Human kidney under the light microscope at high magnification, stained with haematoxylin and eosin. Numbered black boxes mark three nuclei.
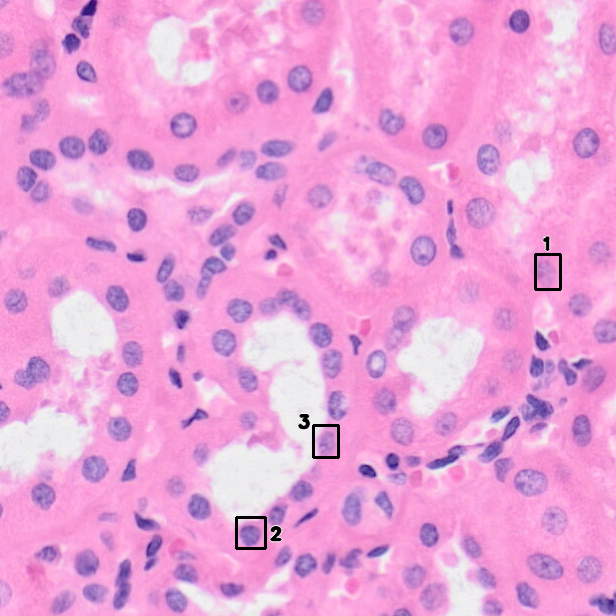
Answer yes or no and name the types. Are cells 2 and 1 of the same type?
No, cell 2 should be called a loop of Henle or distal tubule cell, and cell 1 should be called a proximal tubule cell.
